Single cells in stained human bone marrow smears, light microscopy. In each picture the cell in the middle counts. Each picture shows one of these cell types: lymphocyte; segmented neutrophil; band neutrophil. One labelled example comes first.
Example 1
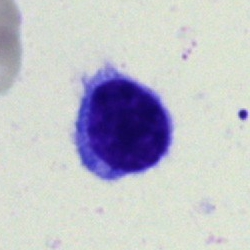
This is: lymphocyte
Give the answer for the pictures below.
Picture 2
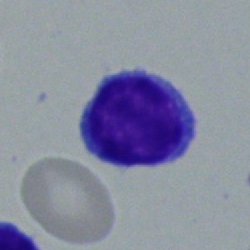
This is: lymphocyte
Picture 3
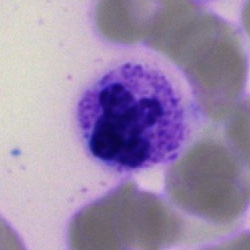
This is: segmented neutrophil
